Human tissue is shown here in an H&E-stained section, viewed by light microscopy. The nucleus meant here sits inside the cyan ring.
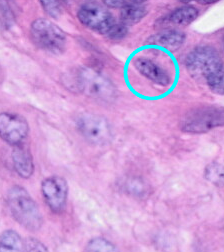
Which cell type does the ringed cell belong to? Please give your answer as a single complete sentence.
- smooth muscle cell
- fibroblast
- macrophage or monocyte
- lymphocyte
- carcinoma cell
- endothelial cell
It is a macrophage or monocyte that the ringed cell represents.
